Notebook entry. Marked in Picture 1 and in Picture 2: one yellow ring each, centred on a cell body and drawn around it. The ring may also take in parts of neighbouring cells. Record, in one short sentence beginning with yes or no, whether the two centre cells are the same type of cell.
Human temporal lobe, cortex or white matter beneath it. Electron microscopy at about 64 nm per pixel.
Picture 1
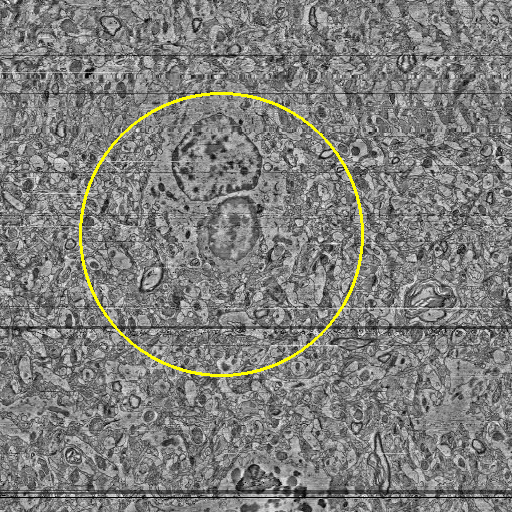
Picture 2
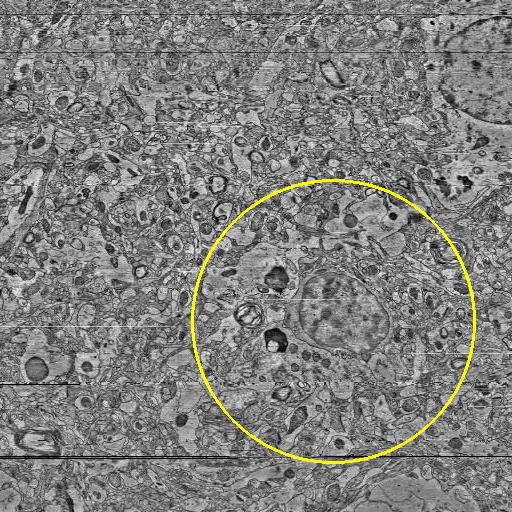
Yes, both are the same type of cell.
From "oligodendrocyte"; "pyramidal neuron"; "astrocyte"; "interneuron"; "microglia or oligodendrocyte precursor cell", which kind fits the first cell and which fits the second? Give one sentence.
In each picture the ringed cell is an oligodendrocyte.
